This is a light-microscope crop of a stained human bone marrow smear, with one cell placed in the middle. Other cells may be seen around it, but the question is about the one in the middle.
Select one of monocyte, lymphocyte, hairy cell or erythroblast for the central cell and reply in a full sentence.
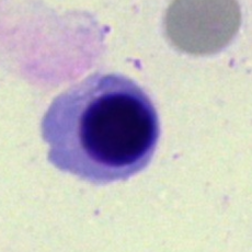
The cell that lies at the centre of the crop is an erythroblast.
